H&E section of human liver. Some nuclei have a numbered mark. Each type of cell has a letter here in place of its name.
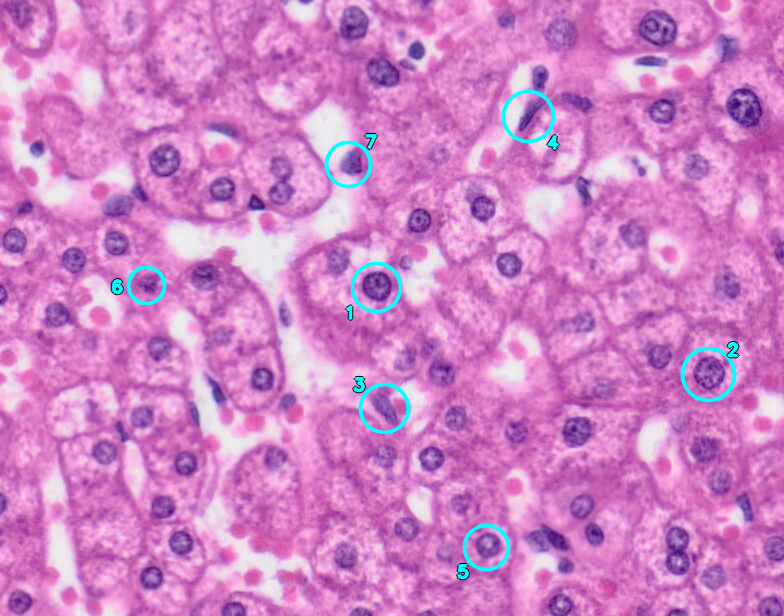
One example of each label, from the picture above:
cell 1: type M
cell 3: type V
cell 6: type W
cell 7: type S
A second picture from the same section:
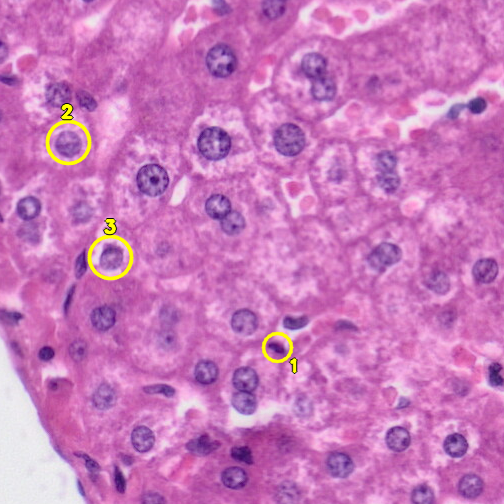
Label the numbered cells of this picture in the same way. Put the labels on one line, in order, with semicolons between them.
type W; type M; type M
